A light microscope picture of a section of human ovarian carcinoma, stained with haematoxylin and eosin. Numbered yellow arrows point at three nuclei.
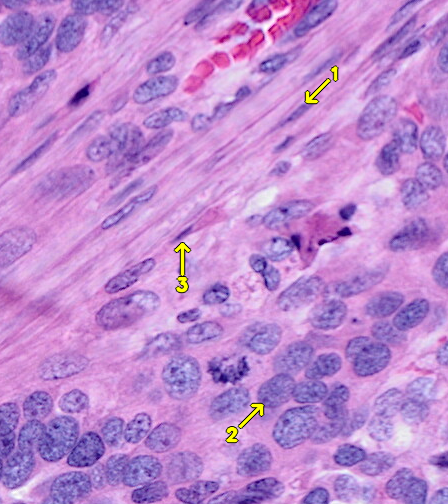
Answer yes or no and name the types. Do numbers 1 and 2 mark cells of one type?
No, cell 1 is a fibroblast and cell 2 is a carcinoma cell.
